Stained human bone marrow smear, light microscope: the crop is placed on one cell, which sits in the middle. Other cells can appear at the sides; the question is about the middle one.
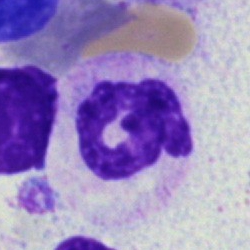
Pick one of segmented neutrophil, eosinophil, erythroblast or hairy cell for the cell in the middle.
segmented neutrophil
